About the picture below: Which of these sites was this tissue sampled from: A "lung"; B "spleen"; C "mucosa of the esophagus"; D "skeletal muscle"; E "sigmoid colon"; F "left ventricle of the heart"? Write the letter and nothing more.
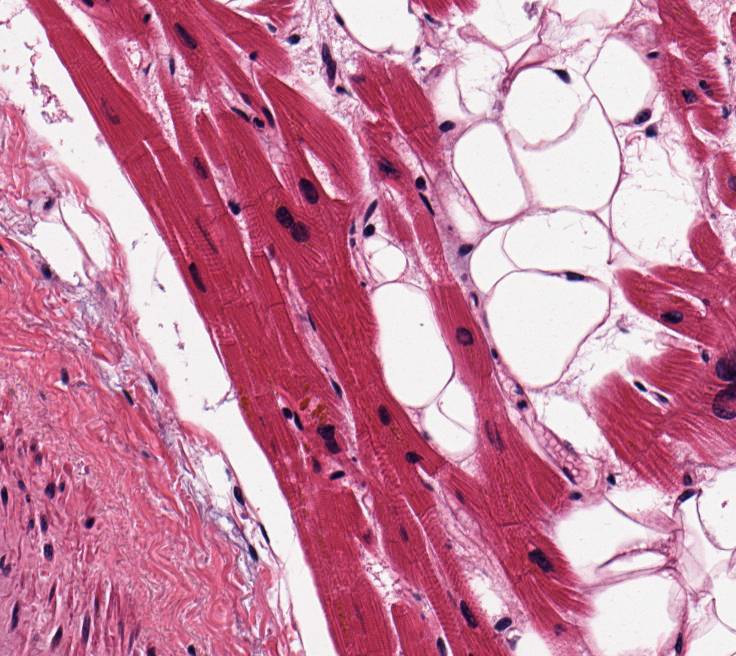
F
